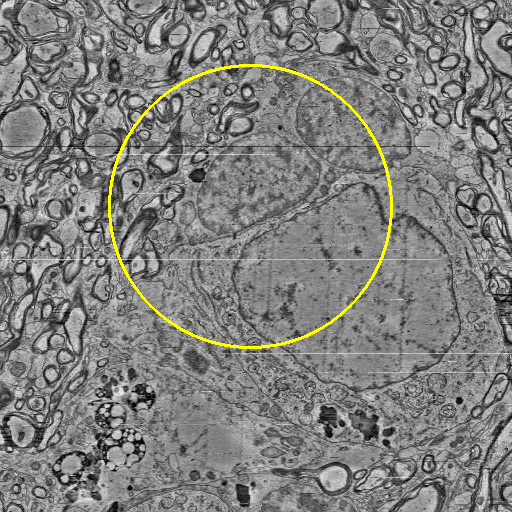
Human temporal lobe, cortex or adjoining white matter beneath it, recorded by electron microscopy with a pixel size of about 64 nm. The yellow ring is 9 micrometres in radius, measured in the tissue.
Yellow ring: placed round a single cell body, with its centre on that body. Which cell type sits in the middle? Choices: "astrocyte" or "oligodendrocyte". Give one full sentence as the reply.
It is an oligodendrocyte whose cell body sits at the centre of the yellow ring.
